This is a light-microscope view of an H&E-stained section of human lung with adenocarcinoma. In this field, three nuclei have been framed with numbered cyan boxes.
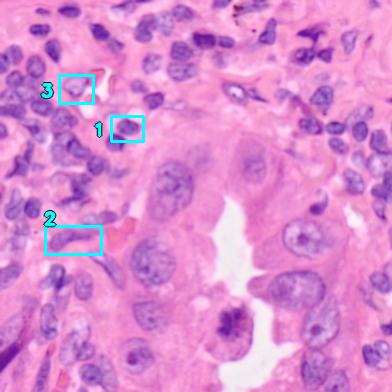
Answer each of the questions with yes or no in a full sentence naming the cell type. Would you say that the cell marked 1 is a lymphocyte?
Yes, cell 1 is a lymphocyte in this tissue section.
